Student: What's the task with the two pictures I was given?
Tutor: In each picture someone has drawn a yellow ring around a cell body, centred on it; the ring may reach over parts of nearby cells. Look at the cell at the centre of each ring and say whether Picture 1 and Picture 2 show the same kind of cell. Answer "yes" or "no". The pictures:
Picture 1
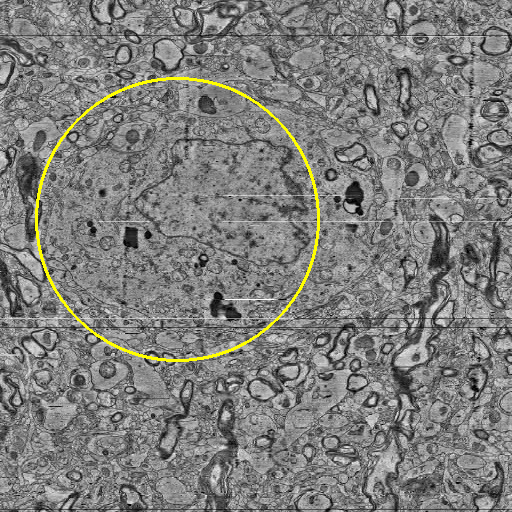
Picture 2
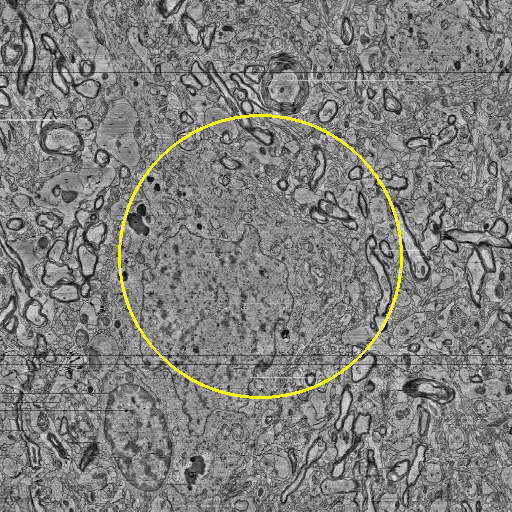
yes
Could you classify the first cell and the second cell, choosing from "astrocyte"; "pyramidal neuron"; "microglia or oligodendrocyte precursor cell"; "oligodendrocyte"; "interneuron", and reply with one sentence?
Both the first and the second picture show a pyramidal neuron in the ring.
